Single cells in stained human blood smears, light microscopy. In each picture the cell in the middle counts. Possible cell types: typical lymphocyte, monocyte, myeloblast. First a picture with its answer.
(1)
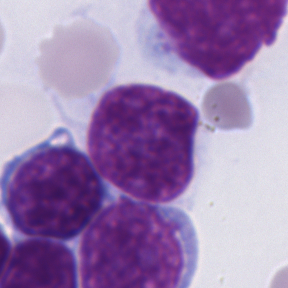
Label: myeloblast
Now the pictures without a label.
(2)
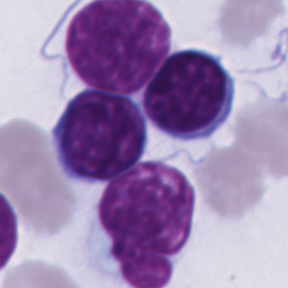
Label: myeloblast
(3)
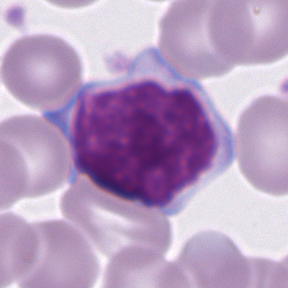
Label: typical lymphocyte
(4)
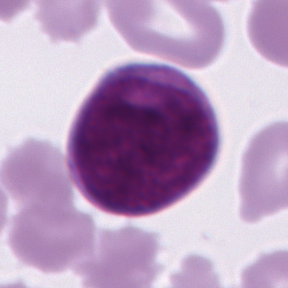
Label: myeloblast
